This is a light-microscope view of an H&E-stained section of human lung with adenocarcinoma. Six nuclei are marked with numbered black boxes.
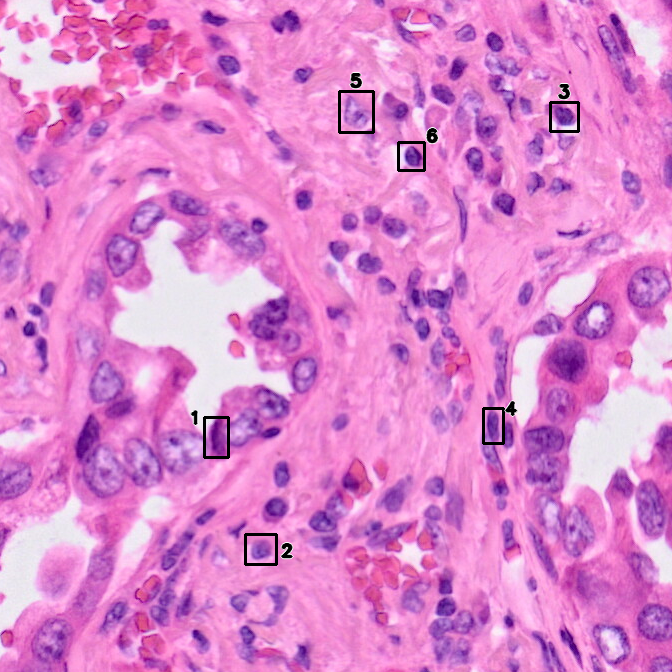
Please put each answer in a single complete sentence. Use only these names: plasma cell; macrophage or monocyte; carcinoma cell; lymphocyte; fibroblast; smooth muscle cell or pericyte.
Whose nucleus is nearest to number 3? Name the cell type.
The nucleus nearest to number 3 is that of a fibroblast.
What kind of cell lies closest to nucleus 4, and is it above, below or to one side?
Just below and to the right of nucleus 4 lies the nearest nucleus, which belongs to a lymphocyte.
